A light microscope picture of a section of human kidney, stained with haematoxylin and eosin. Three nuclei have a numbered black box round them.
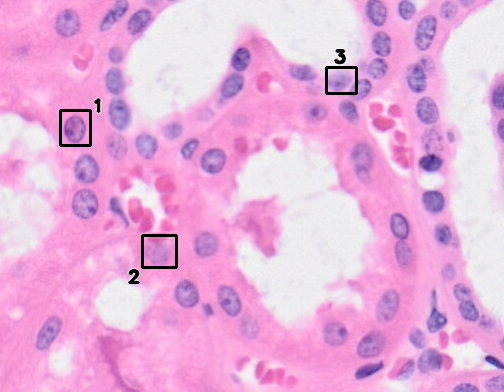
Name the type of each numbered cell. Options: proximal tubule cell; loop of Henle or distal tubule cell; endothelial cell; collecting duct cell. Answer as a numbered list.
1. proximal tubule cell
2. proximal tubule cell
3. collecting duct cell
